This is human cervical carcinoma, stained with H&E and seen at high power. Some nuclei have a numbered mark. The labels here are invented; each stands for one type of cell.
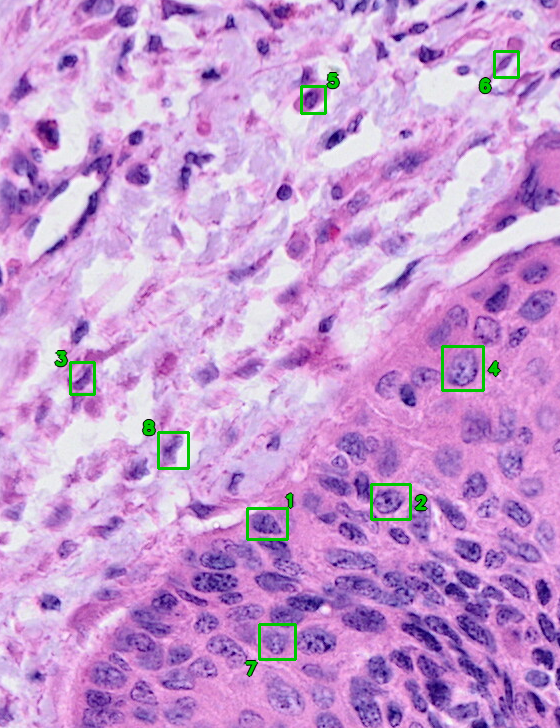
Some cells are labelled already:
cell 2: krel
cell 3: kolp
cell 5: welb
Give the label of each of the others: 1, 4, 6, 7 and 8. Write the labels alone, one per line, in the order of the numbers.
krel
krel
kolp
krel
kolp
